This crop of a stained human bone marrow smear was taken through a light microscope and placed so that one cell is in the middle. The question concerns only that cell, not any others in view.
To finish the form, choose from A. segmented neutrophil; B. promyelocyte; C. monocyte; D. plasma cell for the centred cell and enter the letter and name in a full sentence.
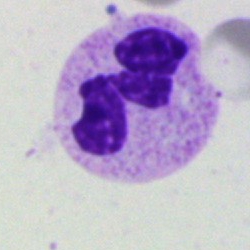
It is a segmented neutrophil that occupies the centre of the crop, so option A is correct.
